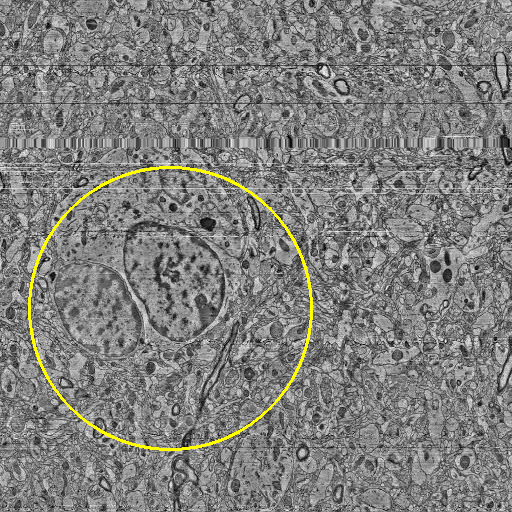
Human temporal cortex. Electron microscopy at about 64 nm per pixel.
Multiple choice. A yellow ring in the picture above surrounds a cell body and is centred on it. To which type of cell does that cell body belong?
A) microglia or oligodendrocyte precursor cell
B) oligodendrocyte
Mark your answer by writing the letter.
A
